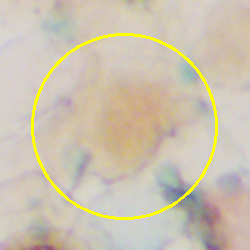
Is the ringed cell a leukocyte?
No, it is a cornified epithelial cell.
